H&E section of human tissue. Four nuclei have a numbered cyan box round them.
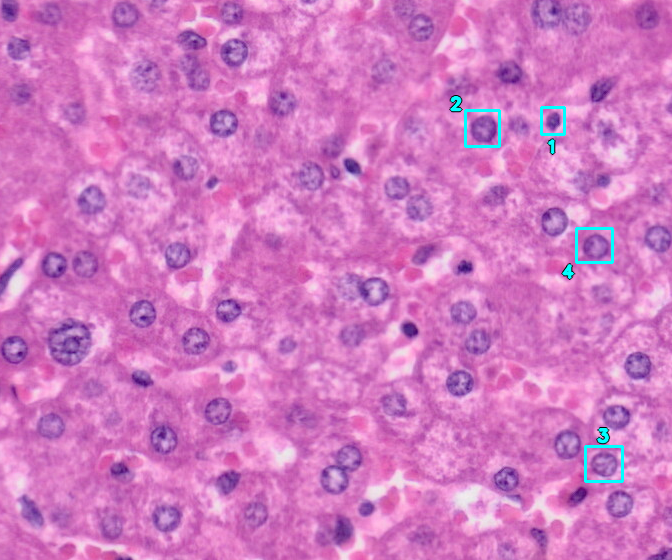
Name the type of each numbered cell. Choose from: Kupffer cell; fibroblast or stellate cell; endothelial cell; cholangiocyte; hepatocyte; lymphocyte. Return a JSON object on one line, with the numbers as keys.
{"1": "lymphocyte", "2": "hepatocyte", "3": "hepatocyte", "4": "hepatocyte"}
